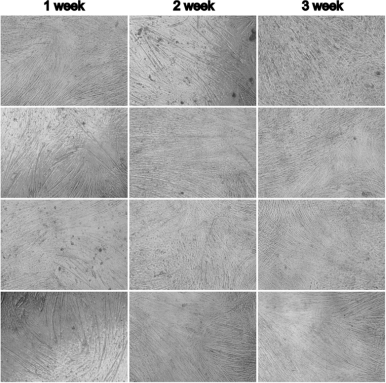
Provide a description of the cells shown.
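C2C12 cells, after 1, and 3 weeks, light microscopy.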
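In most fields the culture is a dense, confluent layer, and long, thin, spindle-shaped myotubes run across it. The myotubes tend to lie side by side in parallel bundles, giving the layer a streaming, swirling pattern. Scattered small dark specks and rounded bodies lie on top of the layer in some fields.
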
